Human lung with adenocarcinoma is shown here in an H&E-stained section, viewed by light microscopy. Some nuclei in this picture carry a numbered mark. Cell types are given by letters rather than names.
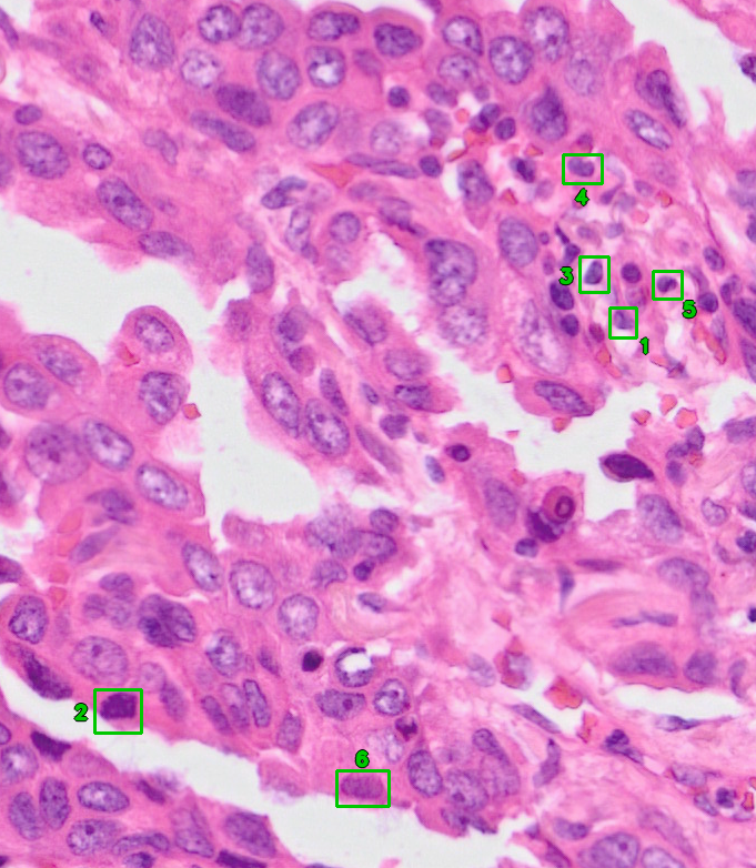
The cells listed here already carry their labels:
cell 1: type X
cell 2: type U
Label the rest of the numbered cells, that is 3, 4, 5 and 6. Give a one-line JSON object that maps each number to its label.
{"3": "type X", "4": "type X", "5": "type X", "6": "type U"}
